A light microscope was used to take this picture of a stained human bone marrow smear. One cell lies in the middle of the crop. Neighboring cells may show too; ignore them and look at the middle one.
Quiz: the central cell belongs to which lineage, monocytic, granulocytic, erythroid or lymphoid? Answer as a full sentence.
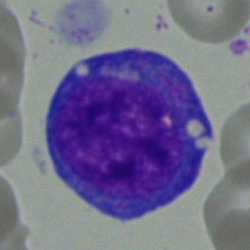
The granulocytic lineage is the lineage of the cell in the middle.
